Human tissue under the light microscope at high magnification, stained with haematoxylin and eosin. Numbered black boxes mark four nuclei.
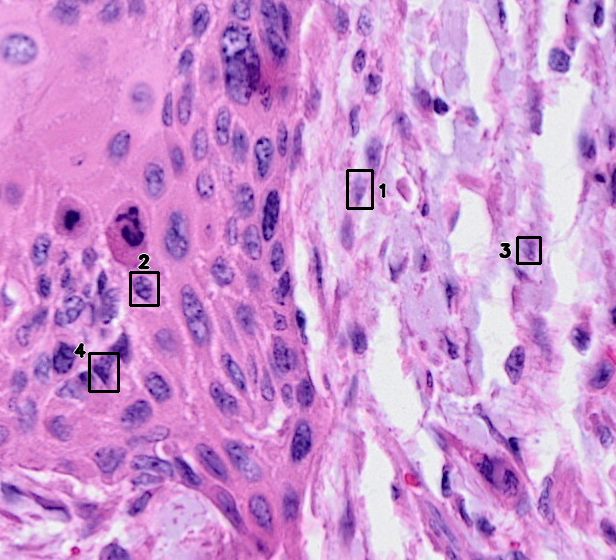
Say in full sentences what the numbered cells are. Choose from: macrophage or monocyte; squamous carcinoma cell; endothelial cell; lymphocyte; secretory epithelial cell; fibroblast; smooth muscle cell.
Cells 1 and 3 are fibroblasts. Cells 2 and 4 are squamous carcinoma cells.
